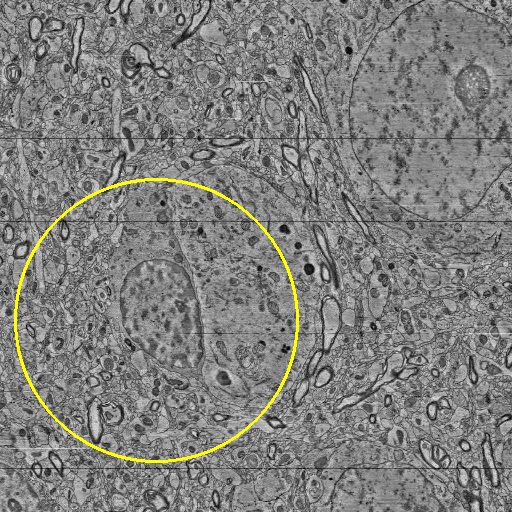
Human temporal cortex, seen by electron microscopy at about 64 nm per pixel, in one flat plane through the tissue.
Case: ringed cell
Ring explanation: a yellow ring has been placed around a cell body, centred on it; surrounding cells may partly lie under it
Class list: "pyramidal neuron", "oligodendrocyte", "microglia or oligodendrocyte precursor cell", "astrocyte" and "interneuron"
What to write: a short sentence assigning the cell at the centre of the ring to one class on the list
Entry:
The cell at the ring's centre is an oligodendrocyte.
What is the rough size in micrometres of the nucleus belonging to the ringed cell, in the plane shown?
In this plane the nucleus spans approximately 7 by 5 micrometers.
